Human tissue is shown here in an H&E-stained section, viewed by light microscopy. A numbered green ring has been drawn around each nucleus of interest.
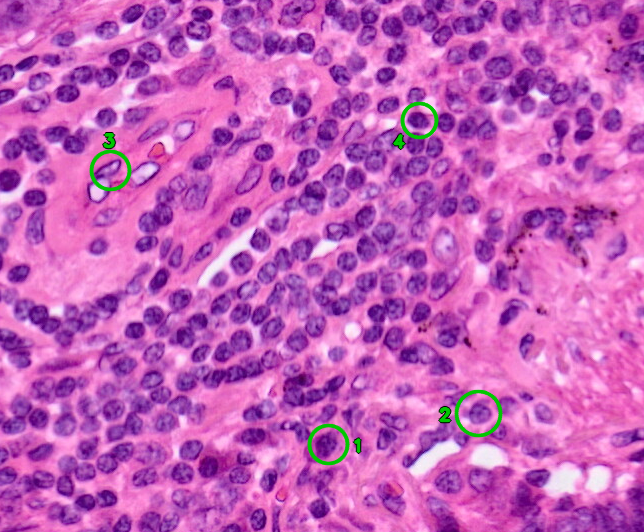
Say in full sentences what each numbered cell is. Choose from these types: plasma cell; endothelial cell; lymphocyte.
Cell 1 is a plasma cell. Cells 2 and 4 are lymphocytes. Cell 3 is an endothelial cell.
